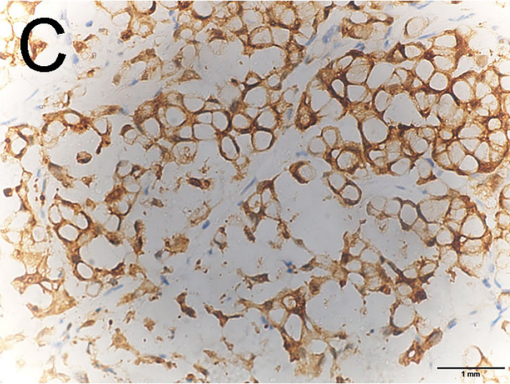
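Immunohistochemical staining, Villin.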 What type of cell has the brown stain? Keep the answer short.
Tumor cells.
